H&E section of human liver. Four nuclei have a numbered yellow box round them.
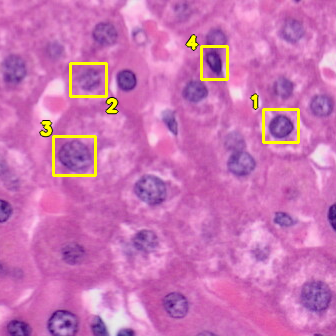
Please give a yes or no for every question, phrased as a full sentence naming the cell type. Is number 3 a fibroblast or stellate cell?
No, cell 3 does not represent a fibroblast or stellate cell; it represents a hepatocyte.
